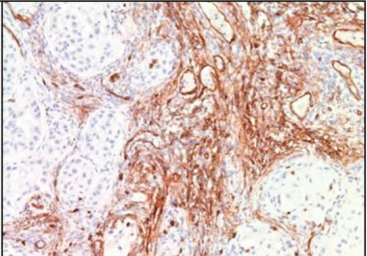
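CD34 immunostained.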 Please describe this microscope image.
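Tumor cells have pale cytoplasm and oval blue nuclei, packed in sheets without stain. Between the nests, many small vessels appear as brown rings and slit-like channels with open lumens, crowded and partly confluent, so the stroma looks nearly solid brown. Thin brown strands also run along the nest edges. Vessel density here is high compared with the cell nests, which contain few or no vessels in their centres.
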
